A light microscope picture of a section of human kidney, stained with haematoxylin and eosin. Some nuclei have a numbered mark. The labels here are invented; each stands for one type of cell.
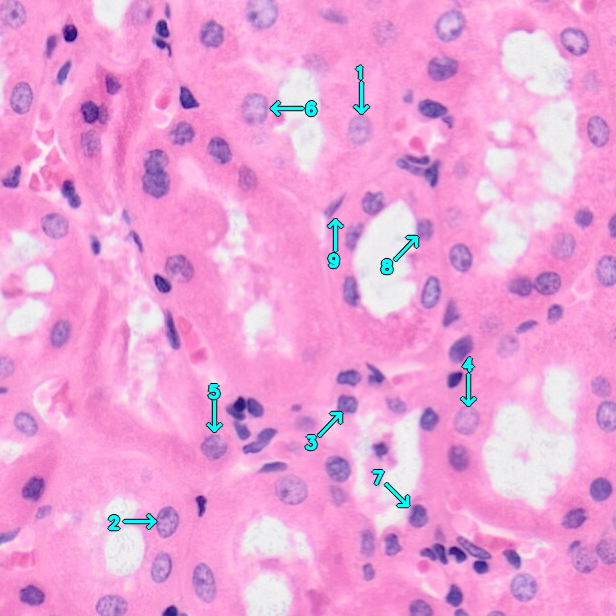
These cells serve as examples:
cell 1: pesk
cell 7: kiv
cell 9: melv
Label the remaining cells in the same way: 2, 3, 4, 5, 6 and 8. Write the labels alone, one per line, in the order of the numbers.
pesk
kiv
pesk
pesk
pesk
kiv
